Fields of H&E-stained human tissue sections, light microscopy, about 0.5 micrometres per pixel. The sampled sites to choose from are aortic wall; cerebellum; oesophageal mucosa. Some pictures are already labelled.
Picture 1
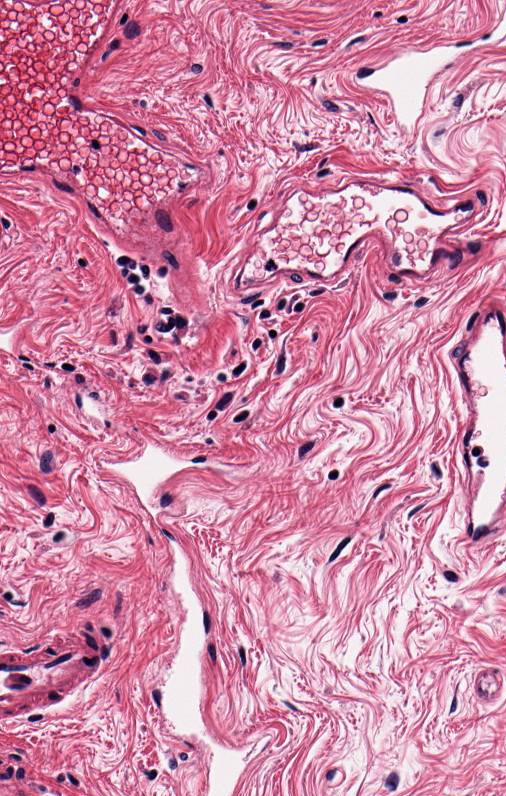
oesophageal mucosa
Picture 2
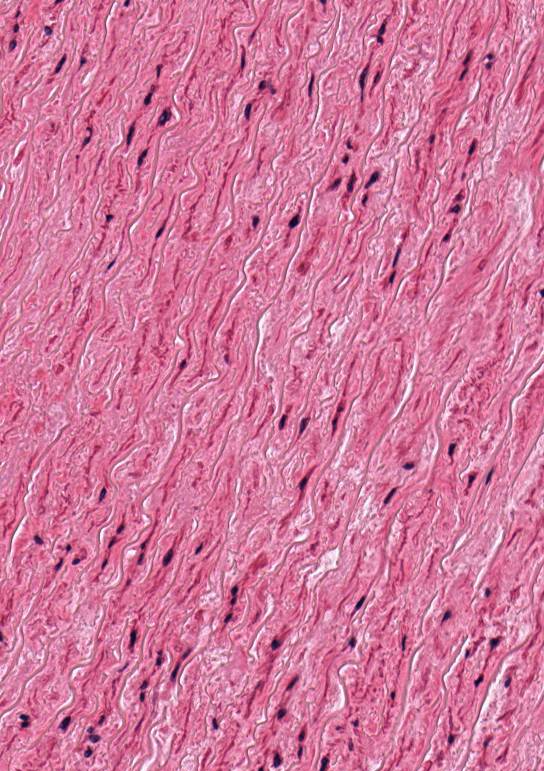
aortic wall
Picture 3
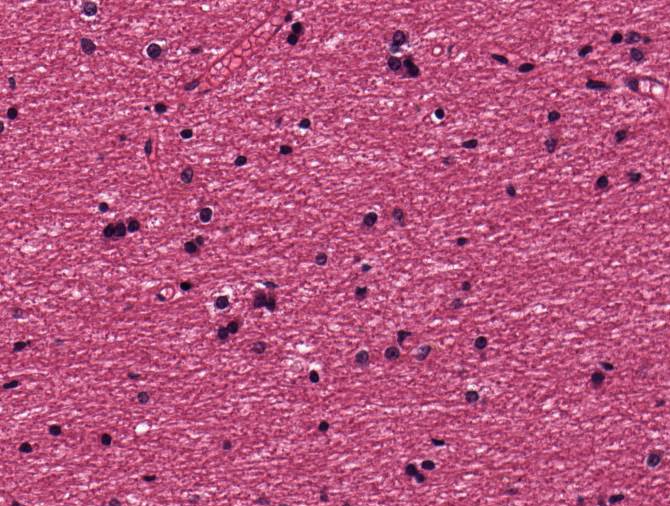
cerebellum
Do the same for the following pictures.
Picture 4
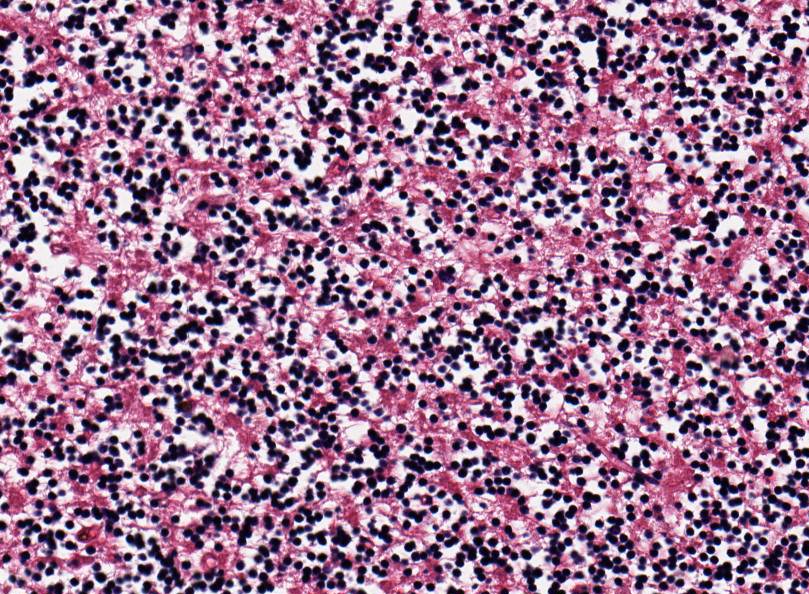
cerebellum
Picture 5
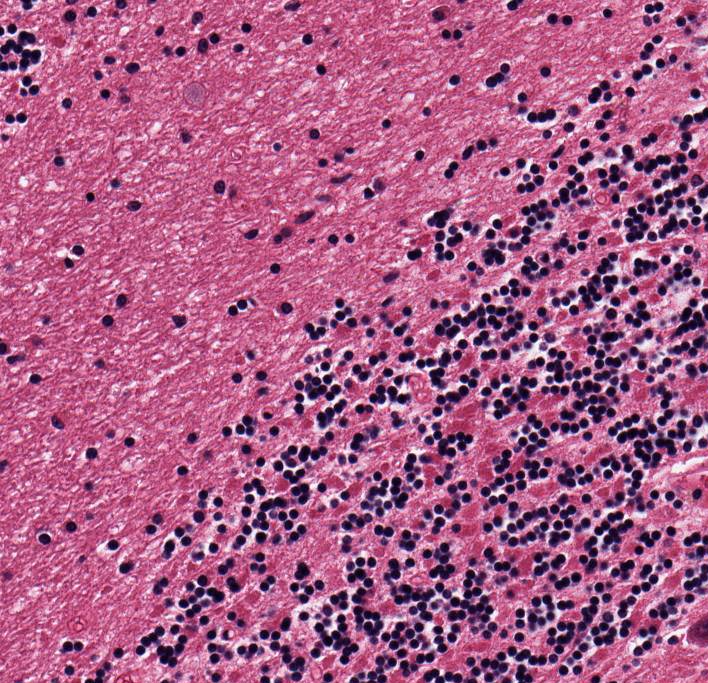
cerebellum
